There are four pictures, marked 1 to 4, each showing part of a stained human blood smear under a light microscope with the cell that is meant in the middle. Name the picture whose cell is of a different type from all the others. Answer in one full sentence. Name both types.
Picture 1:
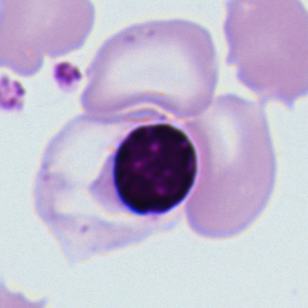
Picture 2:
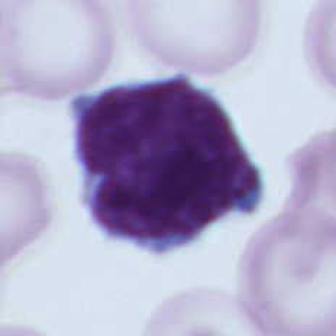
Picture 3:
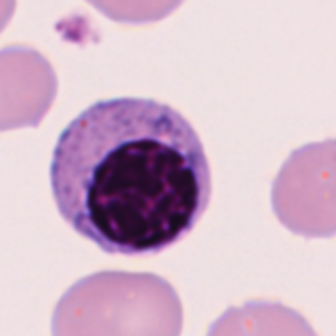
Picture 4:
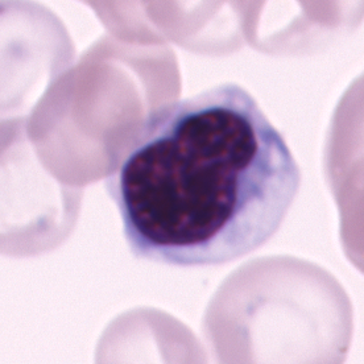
All pictures except 2 show normoblasts; picture 2 shows a typical lymphocyte.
